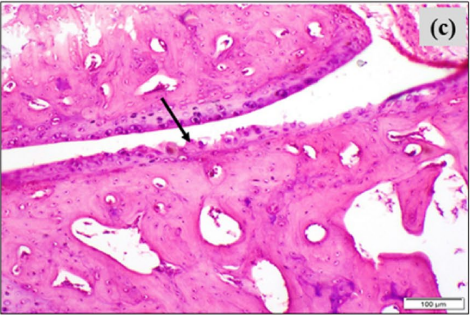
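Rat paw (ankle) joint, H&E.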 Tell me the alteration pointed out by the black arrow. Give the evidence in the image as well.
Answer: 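Irregularity of articular surface. The lower surface facing the joint space is uneven. A crowded band of purple nuclei lines the surface at the arrow.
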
